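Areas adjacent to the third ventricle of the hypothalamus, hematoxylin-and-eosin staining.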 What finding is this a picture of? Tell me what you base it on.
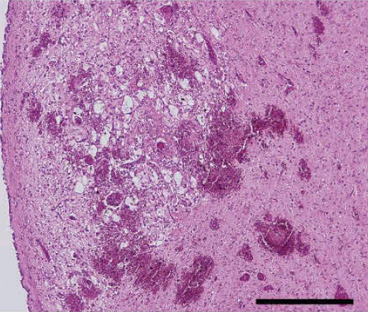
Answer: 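Dark red-purple patches cluster in the tissue. Among the patches the tissue is broken up by many clear, irregular spaces. On this evidence: hemorrhage foci with vacuolation.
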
